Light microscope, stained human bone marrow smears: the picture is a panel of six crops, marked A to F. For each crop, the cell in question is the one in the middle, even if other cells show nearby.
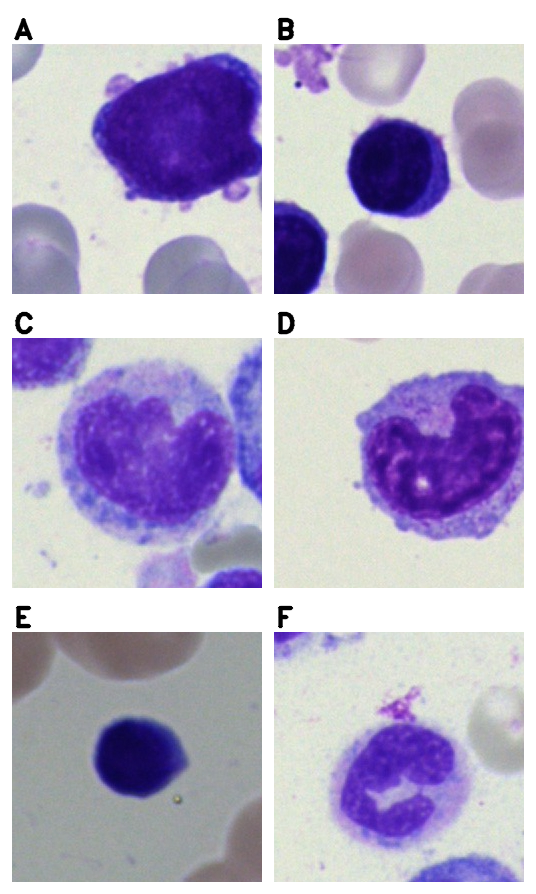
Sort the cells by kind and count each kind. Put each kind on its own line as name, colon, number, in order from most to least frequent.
monocyte: 3
lymphocyte: 2
blast: 1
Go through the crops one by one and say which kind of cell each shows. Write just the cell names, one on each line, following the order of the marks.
blast
lymphocyte
monocyte
monocyte
lymphocyte
monocyte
